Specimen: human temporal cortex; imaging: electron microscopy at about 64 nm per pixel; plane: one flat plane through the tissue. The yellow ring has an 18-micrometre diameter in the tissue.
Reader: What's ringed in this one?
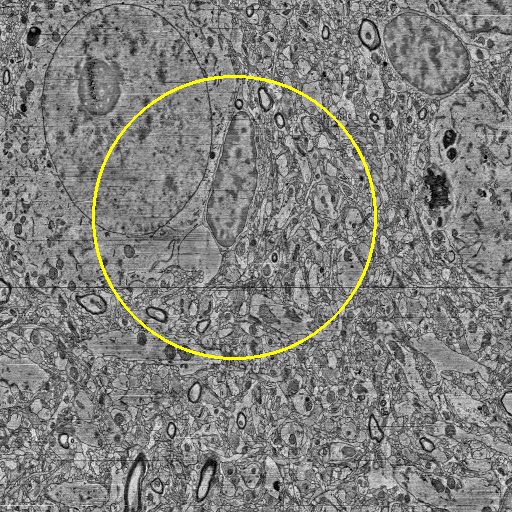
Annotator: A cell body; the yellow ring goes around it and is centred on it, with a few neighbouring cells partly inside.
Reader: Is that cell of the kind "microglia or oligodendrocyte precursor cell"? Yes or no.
yes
